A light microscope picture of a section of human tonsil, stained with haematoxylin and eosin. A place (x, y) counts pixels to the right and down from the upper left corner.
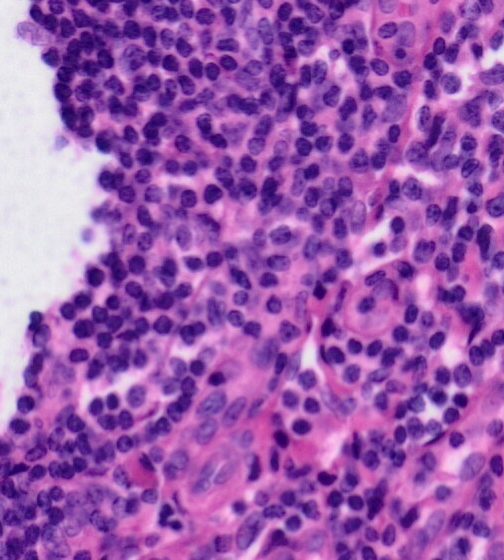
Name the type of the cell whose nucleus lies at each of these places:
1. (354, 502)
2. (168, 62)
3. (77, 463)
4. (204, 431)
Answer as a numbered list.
1. small lymphocyte
2. small lymphocyte
3. small lymphocyte
4. endothelial cell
